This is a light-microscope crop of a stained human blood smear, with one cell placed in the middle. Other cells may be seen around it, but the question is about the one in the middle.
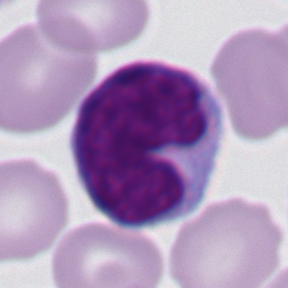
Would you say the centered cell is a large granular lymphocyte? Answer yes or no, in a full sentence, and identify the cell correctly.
No, the cell placed at the center is a typical lymphocyte rather than a large granular lymphocyte.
